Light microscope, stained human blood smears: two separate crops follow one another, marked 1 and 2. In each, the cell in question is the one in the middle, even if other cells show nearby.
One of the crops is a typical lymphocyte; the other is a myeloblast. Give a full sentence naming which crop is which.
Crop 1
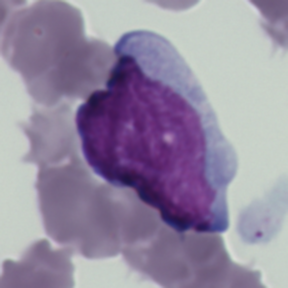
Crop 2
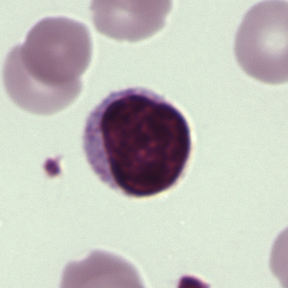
Crop 1 is recognised as a myeloblast, crop 2 as a typical lymphocyte.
